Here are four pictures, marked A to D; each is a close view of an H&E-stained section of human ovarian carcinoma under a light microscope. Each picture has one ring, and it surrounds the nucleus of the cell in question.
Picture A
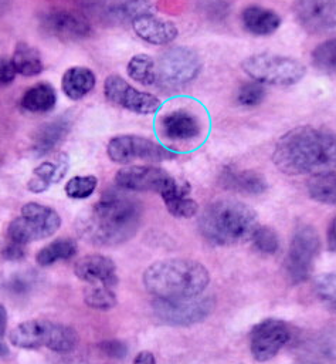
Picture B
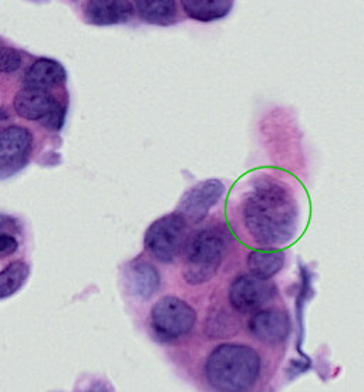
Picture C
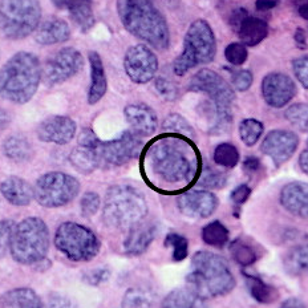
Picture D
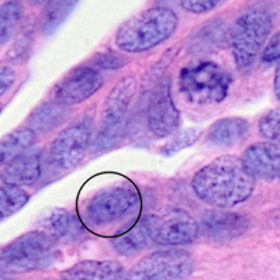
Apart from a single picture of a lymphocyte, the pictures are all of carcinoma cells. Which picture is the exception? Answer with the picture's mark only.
A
